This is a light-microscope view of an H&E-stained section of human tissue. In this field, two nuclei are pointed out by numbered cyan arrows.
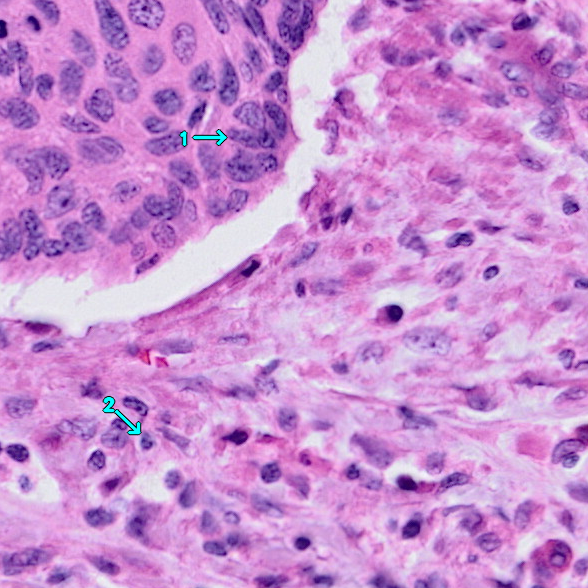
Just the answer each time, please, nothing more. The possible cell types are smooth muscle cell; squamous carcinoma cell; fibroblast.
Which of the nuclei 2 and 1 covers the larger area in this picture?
1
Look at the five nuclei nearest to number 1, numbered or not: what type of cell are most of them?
squamous carcinoma cell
